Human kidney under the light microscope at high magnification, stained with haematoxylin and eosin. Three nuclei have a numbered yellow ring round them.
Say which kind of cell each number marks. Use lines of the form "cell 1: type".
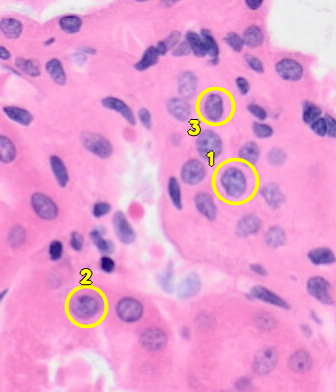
cell 1: loop of Henle or distal tubule cell
cell 2: proximal tubule cell
cell 3: loop of Henle or distal tubule cell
